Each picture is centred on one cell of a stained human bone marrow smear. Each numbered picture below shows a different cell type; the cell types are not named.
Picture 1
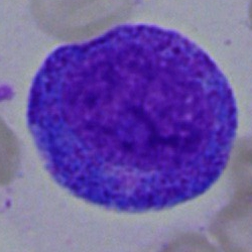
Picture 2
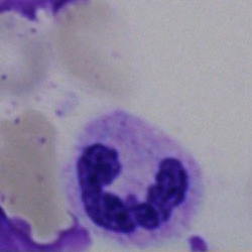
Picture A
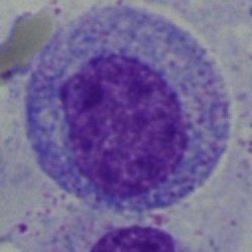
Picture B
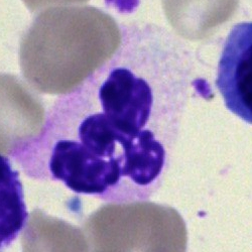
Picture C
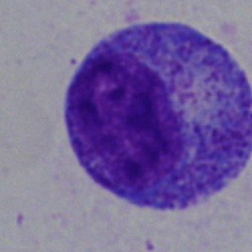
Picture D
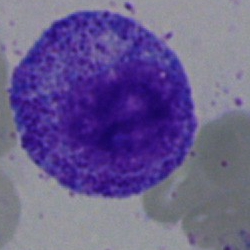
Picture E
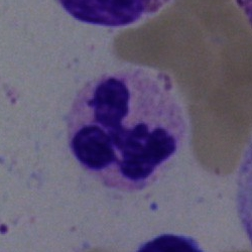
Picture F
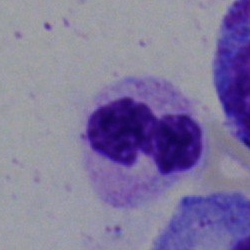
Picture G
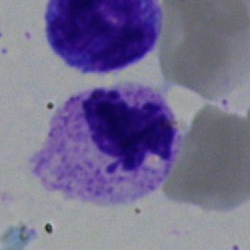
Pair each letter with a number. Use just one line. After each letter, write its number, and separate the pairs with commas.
A 1, B 2, C 1, D 1, E 2, F 2, G 2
